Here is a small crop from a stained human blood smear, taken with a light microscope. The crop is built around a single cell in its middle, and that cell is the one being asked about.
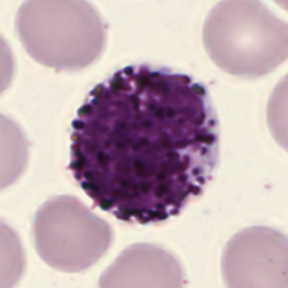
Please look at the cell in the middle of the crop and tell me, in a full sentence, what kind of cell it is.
The cell centred in this crop is categorized as a basophil.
